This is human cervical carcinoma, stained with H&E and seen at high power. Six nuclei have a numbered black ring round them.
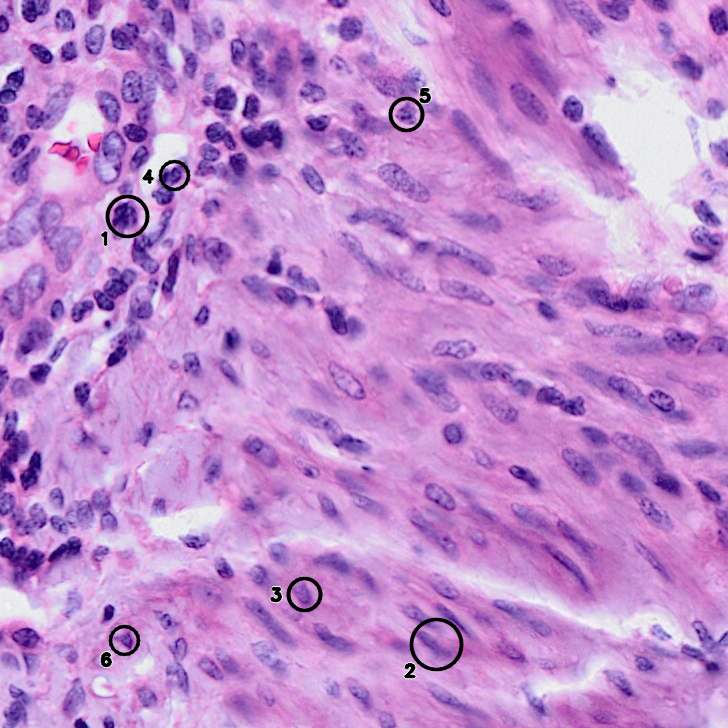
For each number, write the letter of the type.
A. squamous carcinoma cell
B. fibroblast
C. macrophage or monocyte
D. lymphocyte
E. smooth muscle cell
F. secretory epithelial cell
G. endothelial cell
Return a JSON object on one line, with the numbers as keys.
{"1": "D", "2": "E", "3": "E", "4": "D", "5": "D", "6": "E"}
